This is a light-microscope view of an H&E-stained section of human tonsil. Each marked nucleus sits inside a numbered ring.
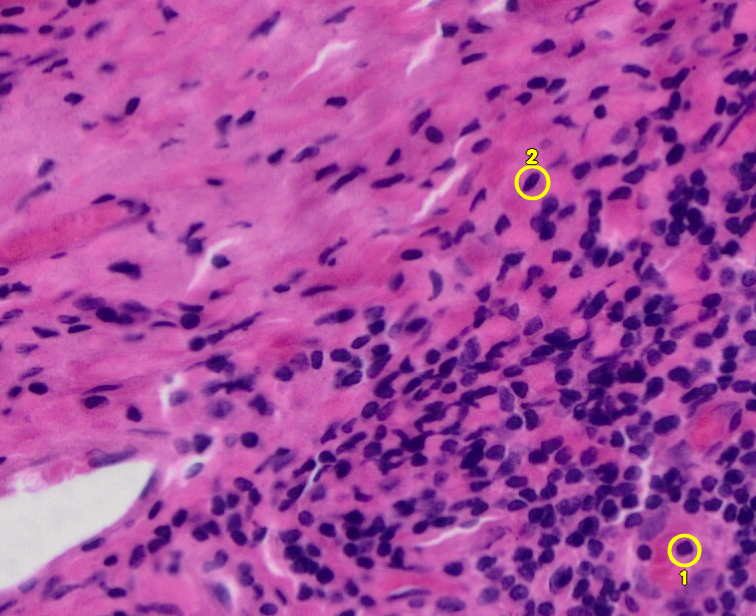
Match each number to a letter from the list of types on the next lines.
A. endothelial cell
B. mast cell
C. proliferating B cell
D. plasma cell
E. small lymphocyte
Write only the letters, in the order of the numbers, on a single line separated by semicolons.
A; B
